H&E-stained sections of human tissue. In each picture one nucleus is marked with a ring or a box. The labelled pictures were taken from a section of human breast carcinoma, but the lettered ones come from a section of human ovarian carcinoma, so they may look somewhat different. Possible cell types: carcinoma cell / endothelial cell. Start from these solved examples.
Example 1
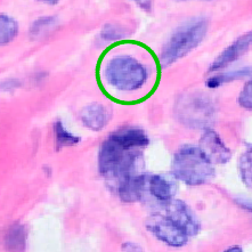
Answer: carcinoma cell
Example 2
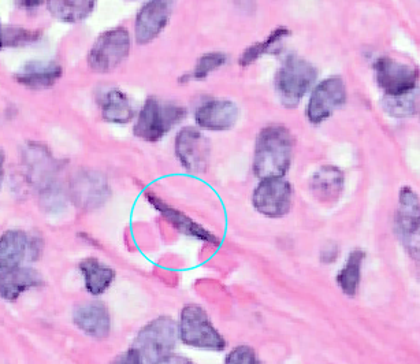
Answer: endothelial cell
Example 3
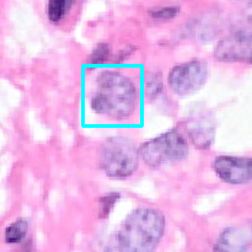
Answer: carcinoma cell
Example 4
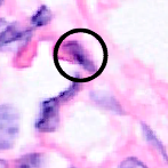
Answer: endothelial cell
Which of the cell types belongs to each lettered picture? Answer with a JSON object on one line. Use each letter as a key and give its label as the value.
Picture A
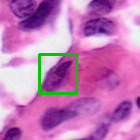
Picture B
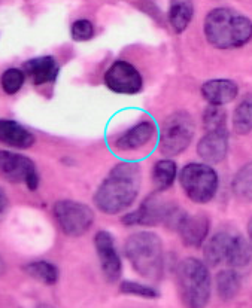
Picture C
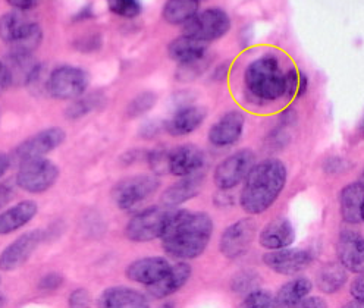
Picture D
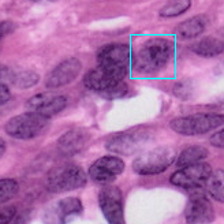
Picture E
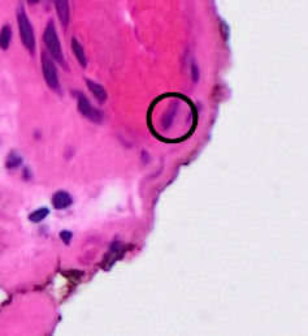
{"A": "endothelial cell", "B": "carcinoma cell", "C": "carcinoma cell", "D": "carcinoma cell", "E": "endothelial cell"}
